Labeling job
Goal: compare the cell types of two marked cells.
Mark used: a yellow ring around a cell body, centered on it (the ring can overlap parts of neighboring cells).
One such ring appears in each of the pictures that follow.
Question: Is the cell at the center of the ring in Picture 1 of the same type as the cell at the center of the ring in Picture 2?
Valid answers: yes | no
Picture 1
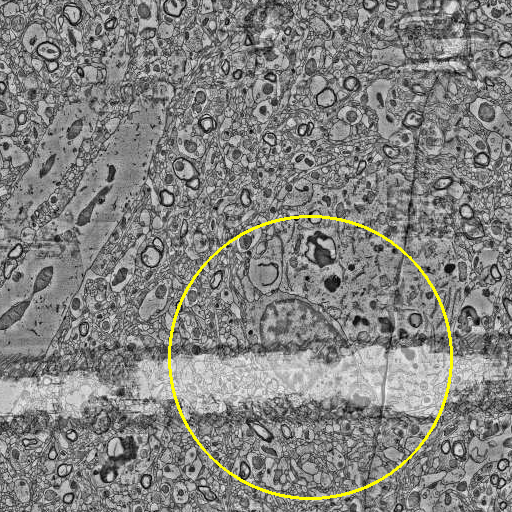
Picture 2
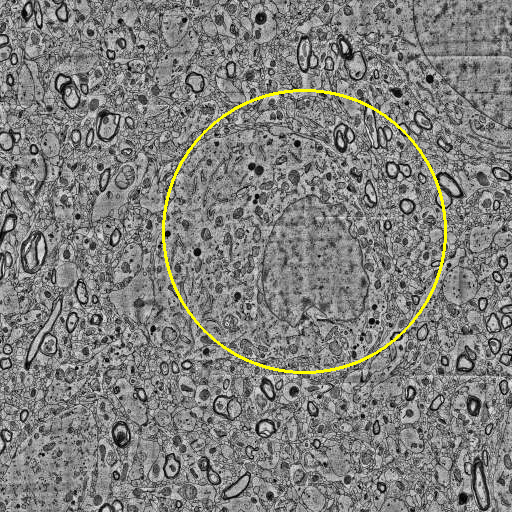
no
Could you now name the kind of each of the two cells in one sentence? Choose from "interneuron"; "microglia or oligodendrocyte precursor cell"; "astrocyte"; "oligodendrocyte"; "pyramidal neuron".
The first ring encloses an oligodendrocyte; the second ring encloses an interneuron.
